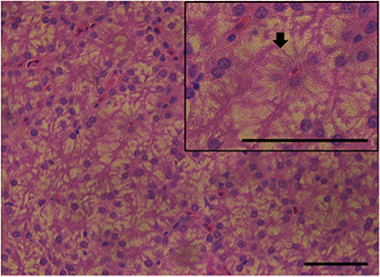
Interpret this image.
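This is liver in which the hepatocytes look badly cleared out. Their cytoplasm is reduced to thin pink strands with many pale, clear spaces between them, giving a lacy, web-like look. The round blue nuclei with visible nucleoli are still present but sit in this washed-out background. Cell borders are hard to make out, and the regular cords of liver cells are largely lost.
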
